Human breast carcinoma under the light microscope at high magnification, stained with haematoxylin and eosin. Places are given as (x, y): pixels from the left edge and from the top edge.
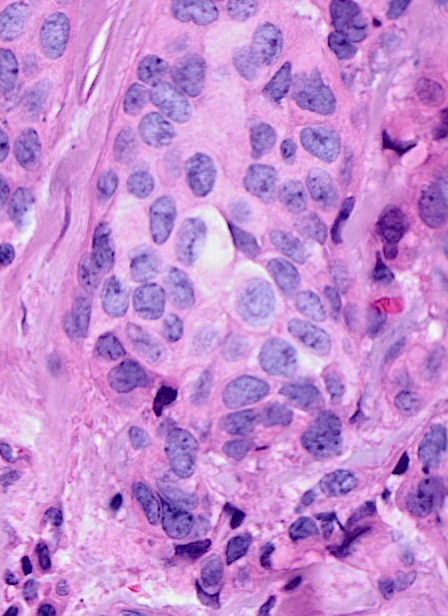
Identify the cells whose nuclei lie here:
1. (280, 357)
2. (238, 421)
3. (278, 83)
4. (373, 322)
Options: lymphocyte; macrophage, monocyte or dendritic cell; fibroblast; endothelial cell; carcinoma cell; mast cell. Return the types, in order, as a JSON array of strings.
["carcinoma cell", "carcinoma cell", "carcinoma cell", "endothelial cell"]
